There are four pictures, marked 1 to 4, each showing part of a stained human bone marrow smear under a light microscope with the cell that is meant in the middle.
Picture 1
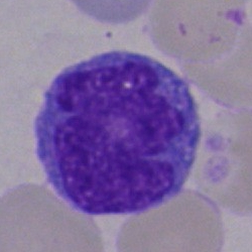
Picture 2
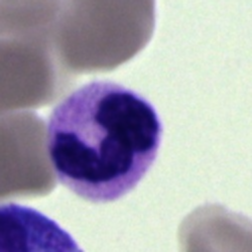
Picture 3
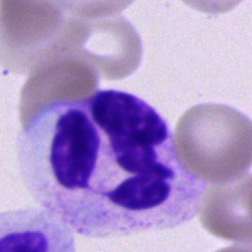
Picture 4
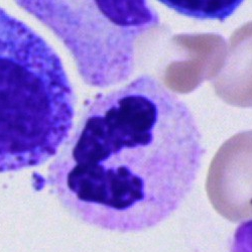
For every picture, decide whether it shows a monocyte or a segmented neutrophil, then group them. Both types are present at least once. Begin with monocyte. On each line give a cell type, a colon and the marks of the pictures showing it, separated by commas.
monocyte: 1
segmented neutrophil: 2, 3, 4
